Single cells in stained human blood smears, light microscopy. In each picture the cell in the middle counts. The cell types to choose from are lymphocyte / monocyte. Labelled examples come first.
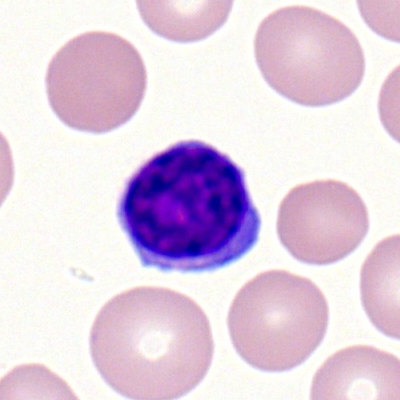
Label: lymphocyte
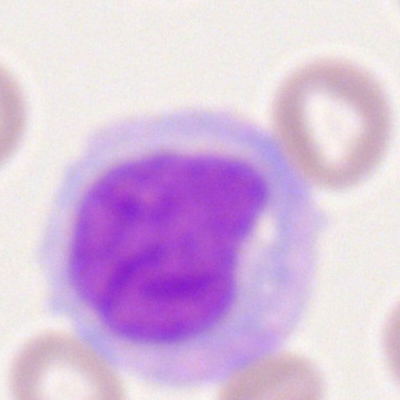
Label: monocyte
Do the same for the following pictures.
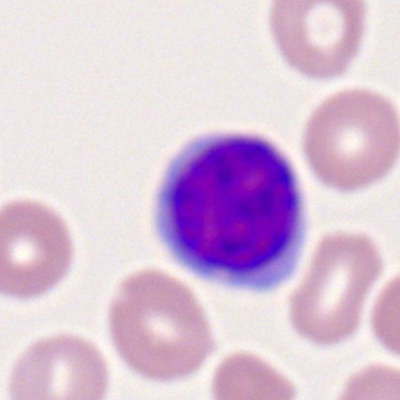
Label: lymphocyte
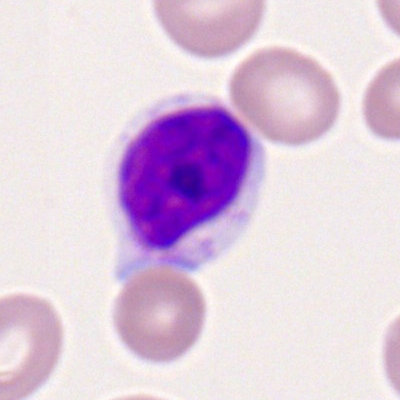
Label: lymphocyte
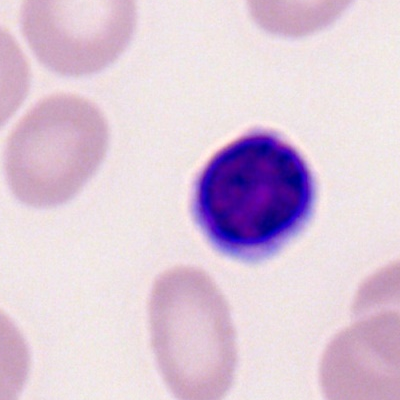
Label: lymphocyte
